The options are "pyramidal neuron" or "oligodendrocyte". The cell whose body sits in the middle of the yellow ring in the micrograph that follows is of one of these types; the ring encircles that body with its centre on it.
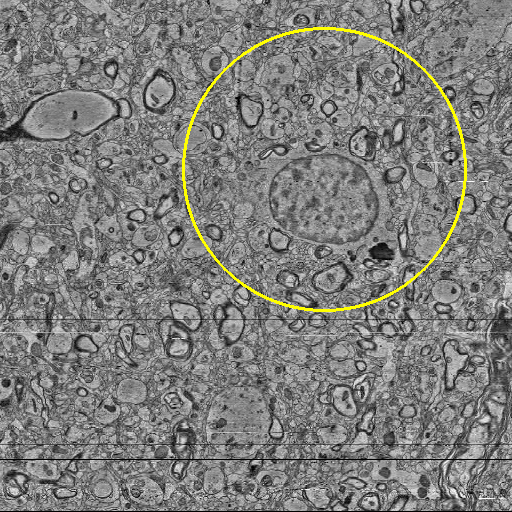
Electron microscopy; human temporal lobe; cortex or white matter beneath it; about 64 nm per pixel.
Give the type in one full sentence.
Going by the micrograph, the cell centred in the yellow ring is an oligodendrocyte.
